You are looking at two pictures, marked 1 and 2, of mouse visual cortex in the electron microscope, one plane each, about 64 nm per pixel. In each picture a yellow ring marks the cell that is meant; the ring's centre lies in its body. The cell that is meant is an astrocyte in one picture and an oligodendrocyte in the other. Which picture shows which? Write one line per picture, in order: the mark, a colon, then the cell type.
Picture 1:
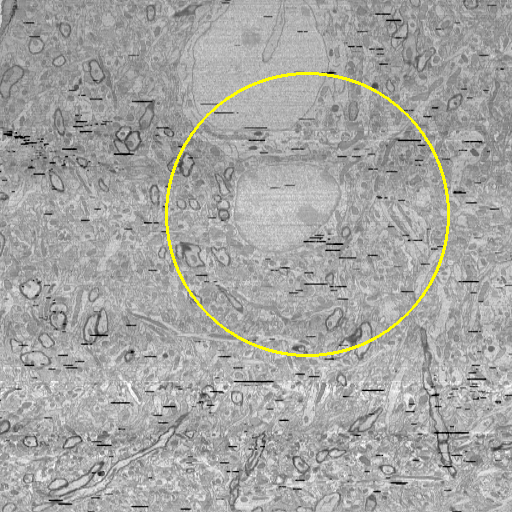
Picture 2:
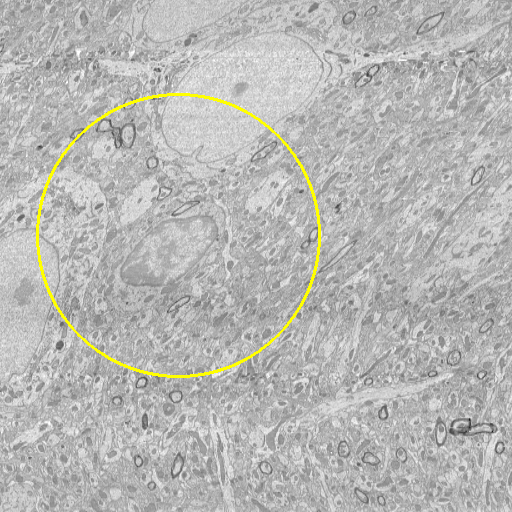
1: astrocyte
2: oligodendrocyte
